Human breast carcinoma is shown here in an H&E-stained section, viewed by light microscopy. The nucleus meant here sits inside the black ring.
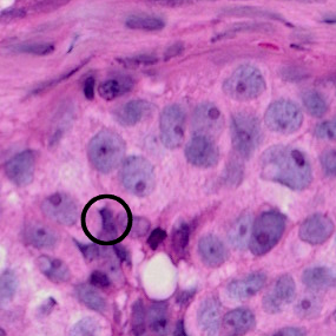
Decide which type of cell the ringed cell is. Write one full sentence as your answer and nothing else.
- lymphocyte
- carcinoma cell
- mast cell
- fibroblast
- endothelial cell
In cell-type terms, the ringed cell is a carcinoma cell.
